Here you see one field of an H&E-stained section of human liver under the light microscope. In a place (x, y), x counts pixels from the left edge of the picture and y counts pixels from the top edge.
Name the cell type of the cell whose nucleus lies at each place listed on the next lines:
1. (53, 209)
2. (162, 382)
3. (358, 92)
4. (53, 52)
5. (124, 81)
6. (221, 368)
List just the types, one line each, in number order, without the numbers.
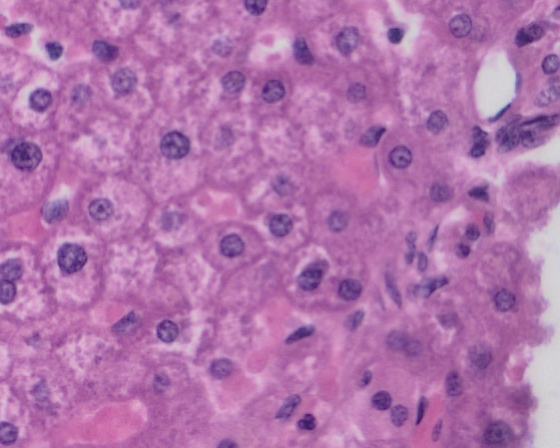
endothelial cell
hepatocyte
hepatocyte
lymphocyte
hepatocyte
hepatocyte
